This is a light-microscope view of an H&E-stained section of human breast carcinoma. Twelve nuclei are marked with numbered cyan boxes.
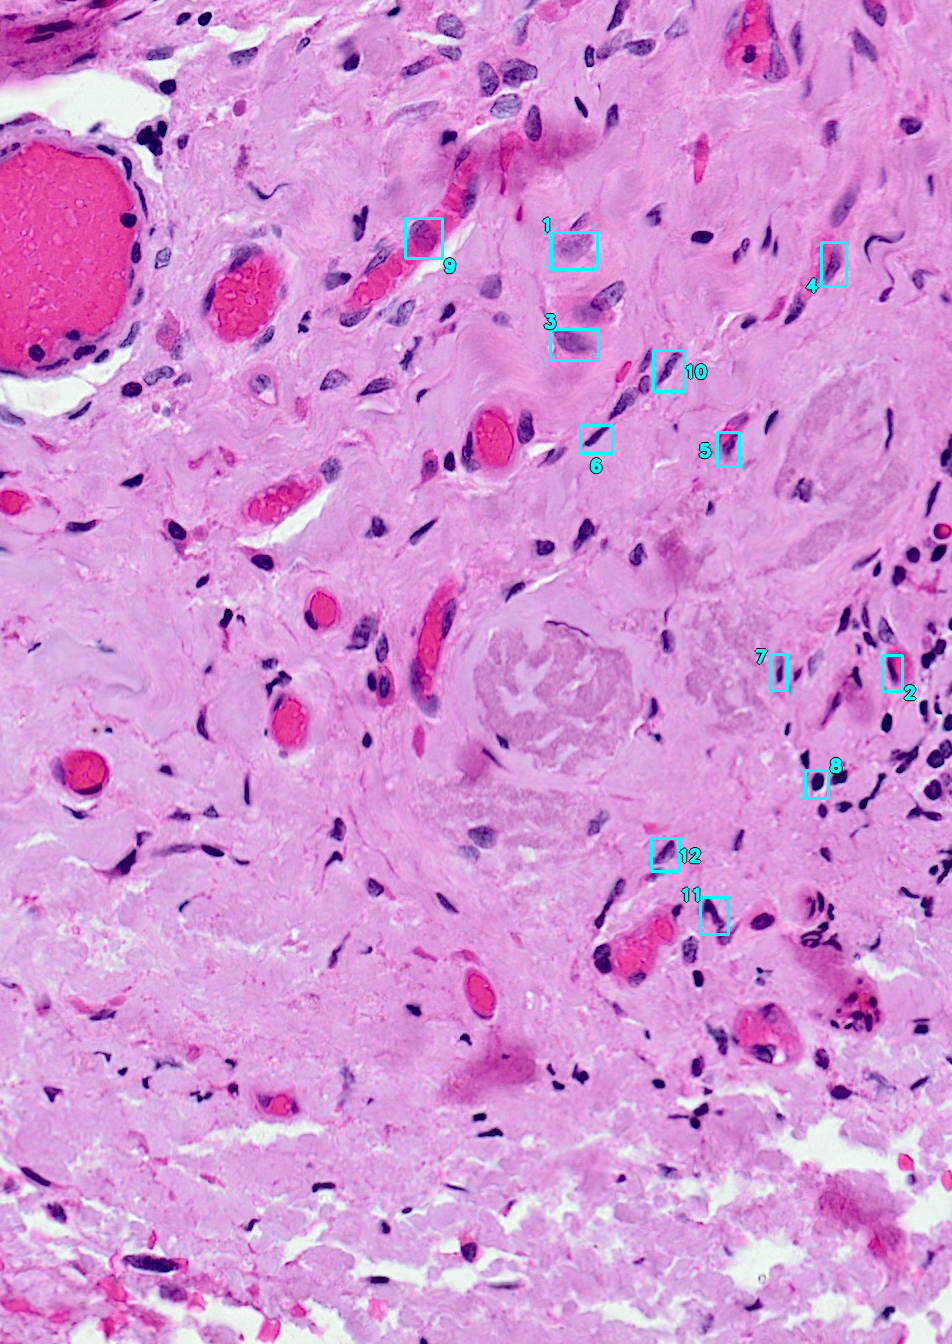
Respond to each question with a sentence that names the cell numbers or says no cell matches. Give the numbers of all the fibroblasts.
The cells marked by the numbers 1, 3, 6, 7, 10, 11 and 12 are fibroblasts.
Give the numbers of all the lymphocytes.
Cell 8 is a lymphocyte and is the only numbered cell of that kind.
